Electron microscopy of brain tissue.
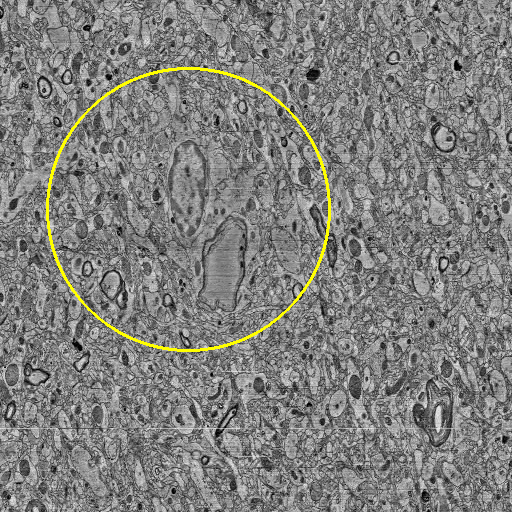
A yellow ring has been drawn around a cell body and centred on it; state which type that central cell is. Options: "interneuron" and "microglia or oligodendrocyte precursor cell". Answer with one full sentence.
The cell at the middle of the yellow ring is a microglial cell or oligodendrocyte precursor cell in this picture.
